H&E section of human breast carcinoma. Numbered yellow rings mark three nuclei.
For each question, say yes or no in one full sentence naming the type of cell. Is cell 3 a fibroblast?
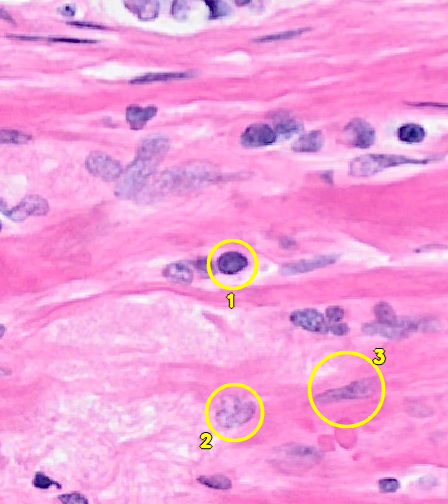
Yes, the cell identified by number 3 is a fibroblast.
